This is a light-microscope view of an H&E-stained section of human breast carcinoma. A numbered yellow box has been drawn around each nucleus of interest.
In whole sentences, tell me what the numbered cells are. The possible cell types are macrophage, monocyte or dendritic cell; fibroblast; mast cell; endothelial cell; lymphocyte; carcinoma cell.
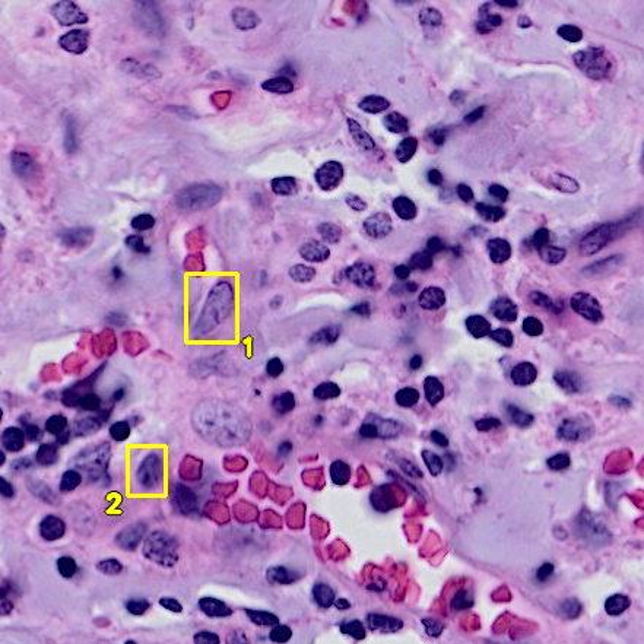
Cell 1 is an endothelial cell and cell 2 is a lymphocyte.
